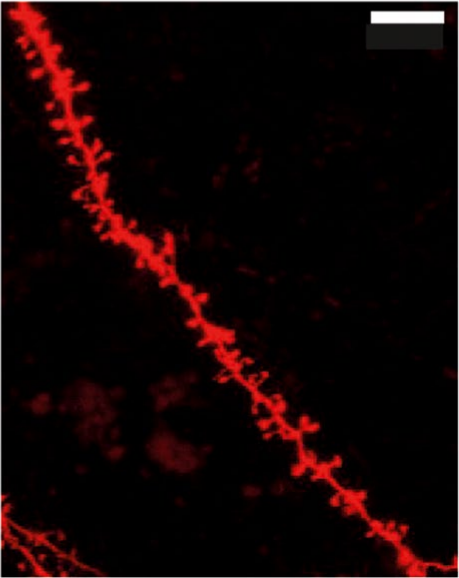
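A higher-magnification view of one red-filled dendrite of a neuron running diagonally across a dark background. Along its whole length the dendrite is densely studded on both sides with short, knob-like dendritic spines.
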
